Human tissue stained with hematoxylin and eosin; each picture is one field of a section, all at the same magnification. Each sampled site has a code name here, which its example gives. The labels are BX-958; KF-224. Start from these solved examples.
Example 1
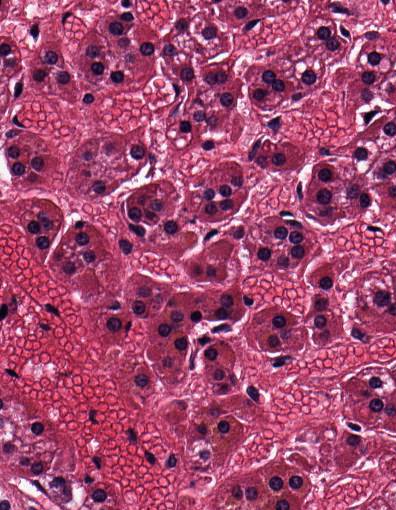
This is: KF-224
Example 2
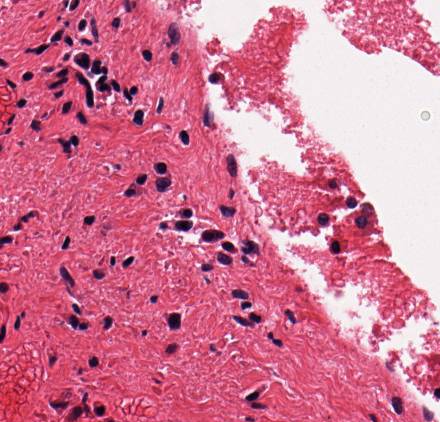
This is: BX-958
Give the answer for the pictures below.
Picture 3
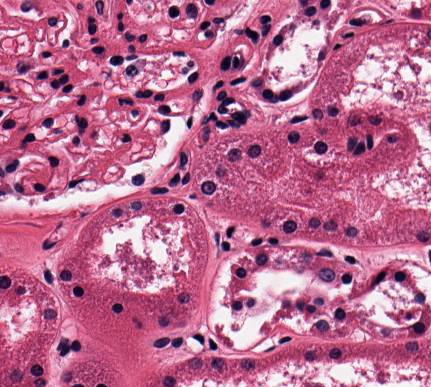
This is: BX-958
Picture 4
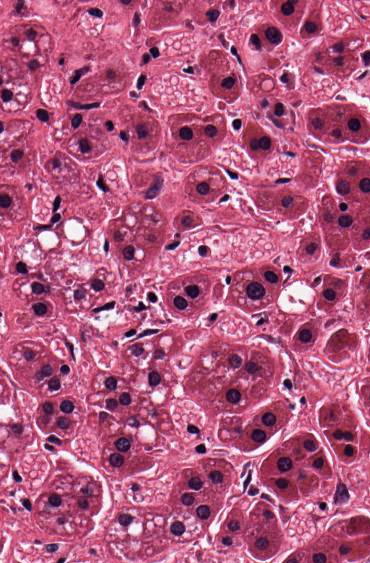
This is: KF-224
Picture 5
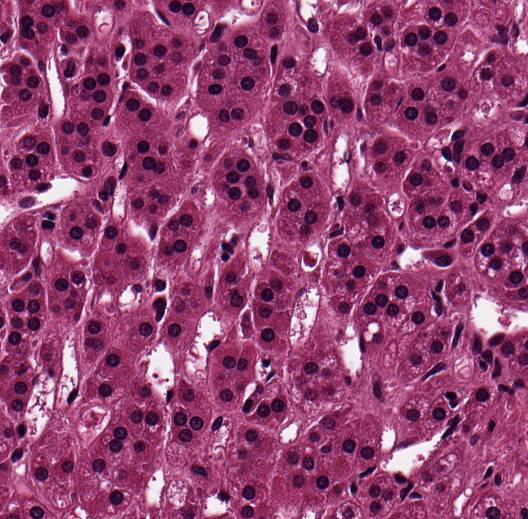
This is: KF-224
